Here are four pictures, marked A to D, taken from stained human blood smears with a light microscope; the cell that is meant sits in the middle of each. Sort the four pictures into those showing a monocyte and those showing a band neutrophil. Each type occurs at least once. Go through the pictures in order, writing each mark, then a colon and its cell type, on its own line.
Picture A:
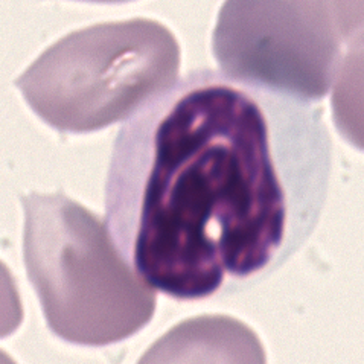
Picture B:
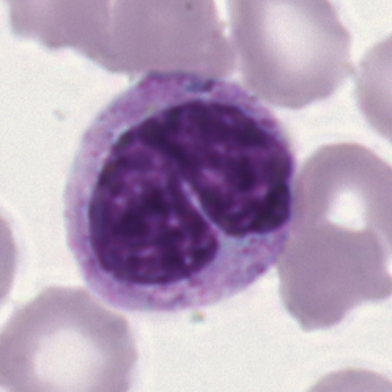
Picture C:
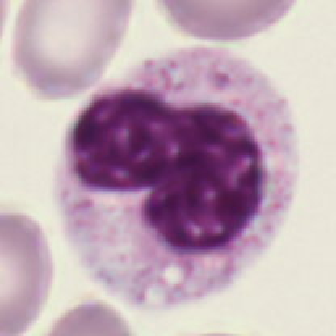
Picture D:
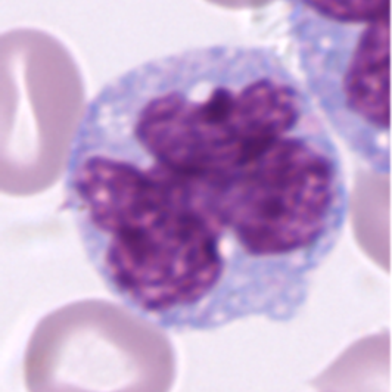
A: band neutrophil
B: band neutrophil
C: band neutrophil
D: monocyte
